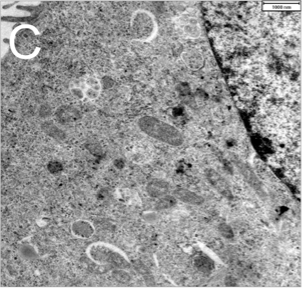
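This is a segment of a cell's cytoplasm beside the edge of the nucleus, whose dark, clumped chromatin lies to the right. The cytoplasm holds many oval mitochondria with cristae and scattered dark dense bodies. Several curved, cup-shaped membranes open to one side lie among them, along with closed membrane-bound particles. The background cytoplasm is finely granular.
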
